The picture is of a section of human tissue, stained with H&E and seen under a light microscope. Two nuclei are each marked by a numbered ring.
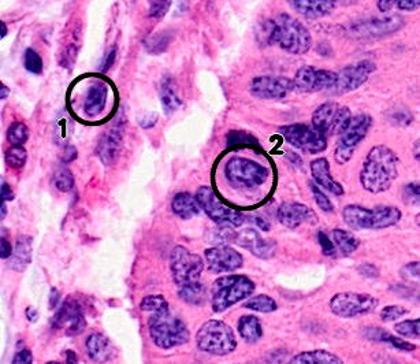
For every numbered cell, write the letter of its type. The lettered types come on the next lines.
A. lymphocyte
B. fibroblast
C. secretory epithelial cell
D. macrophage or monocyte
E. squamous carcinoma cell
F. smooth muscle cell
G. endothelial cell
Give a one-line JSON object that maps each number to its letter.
{"1": "A", "2": "E"}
